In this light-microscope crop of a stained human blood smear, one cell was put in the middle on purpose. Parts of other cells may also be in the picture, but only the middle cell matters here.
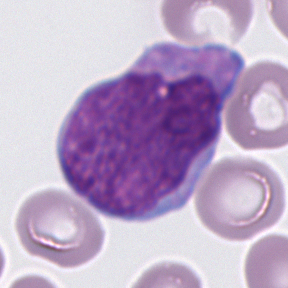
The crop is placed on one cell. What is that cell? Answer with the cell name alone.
atypical promyelocyte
